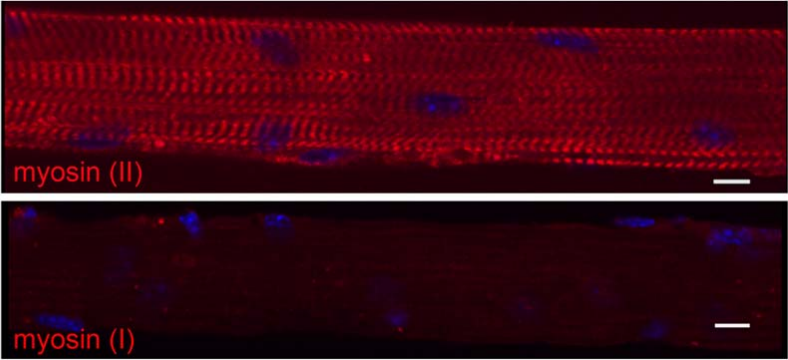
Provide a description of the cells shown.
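Two isolated skeletal muscle fibers are shown lengthwise, each a long, uniform, ribbon-like cell that runs the full width of the image. Several oval to elongated blue nuclei lie scattered along each fiber, flattened in the fiber's long axis. In the upper fiber the red label is bright and lies in fine, regularly spaced transverse bands across the whole width, so the cross-striation of the contractile apparatus stands out clearly along its length. In the lower fiber the red label is faint and diffuse, with no distinct banding, and the fiber looks dark apart from its nuclei and a few red specks.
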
